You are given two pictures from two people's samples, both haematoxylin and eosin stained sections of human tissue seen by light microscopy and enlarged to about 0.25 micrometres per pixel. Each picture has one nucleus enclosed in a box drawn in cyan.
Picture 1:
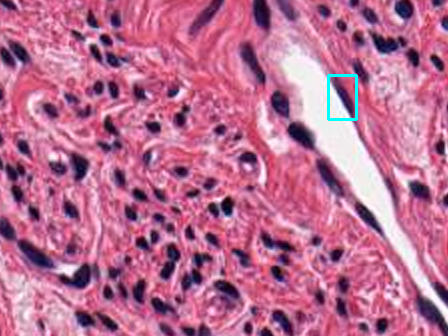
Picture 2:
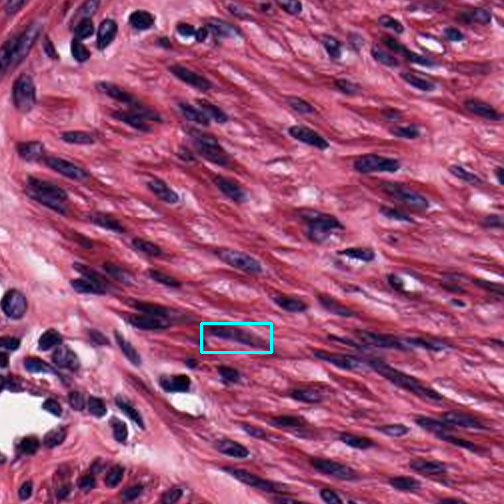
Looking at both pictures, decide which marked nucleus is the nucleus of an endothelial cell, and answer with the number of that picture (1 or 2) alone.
1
